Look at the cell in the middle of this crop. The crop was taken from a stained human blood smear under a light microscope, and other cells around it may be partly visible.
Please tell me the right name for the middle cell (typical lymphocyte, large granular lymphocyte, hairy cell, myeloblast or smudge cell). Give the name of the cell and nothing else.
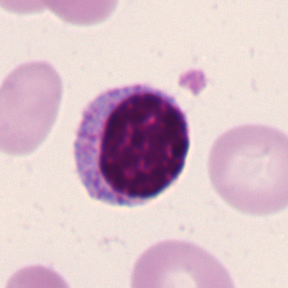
large granular lymphocyte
